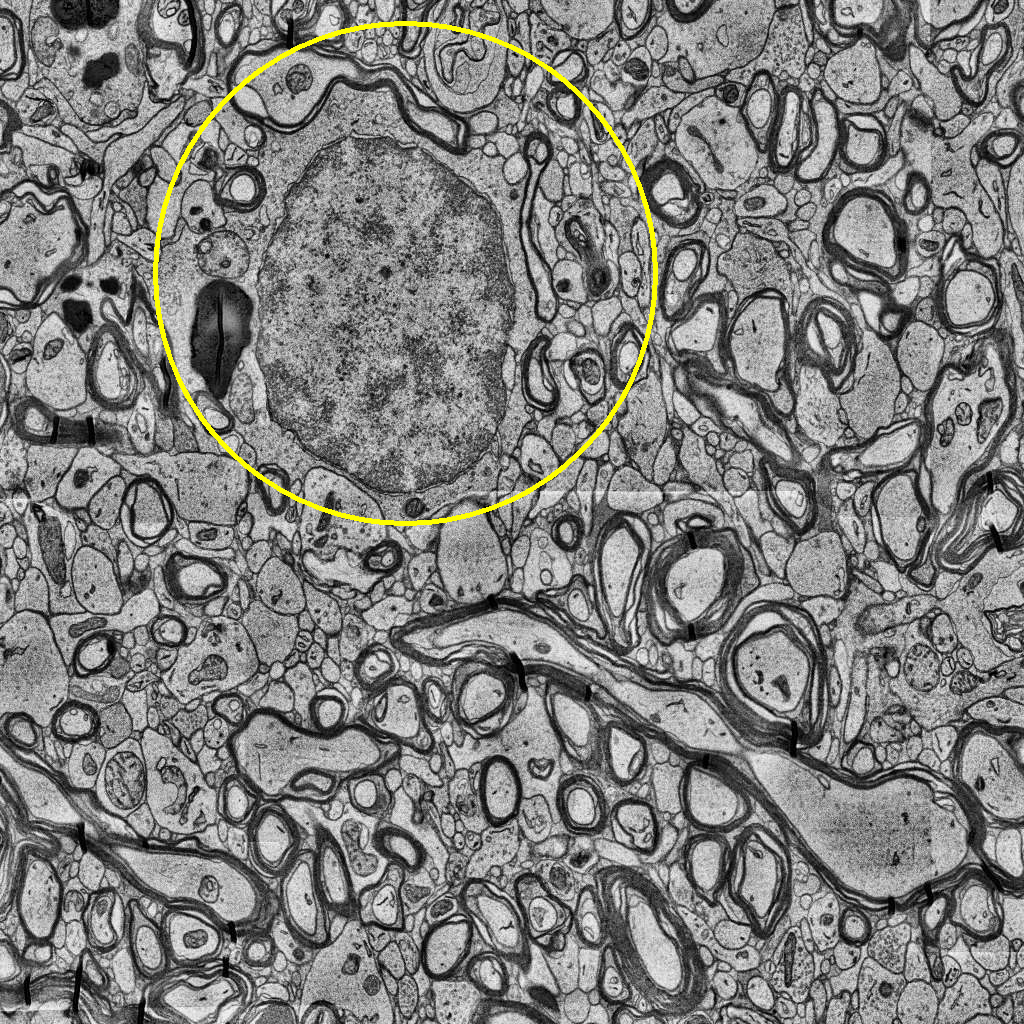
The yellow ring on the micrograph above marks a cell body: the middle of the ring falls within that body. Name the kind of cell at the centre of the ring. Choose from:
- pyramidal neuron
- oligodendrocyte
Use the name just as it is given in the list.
oligodendrocyte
